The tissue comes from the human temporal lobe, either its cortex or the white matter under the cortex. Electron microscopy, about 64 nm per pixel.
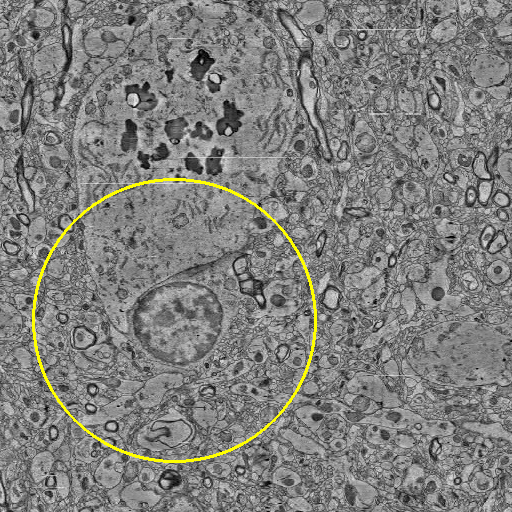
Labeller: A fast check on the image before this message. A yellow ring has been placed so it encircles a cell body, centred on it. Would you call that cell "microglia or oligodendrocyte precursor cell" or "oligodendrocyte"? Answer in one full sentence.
In this image, an oligodendrocyte is the cell on which the yellow ring is centred.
